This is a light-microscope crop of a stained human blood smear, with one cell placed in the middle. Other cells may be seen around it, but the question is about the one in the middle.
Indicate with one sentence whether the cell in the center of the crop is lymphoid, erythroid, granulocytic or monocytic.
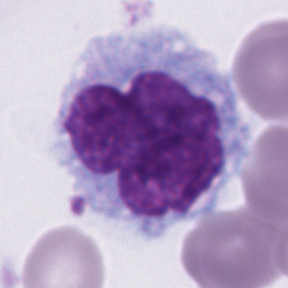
The monocytic lineage is the lineage of the cell in the middle.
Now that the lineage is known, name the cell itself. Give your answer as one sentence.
The cell at the central position in this crop is a monocyte.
